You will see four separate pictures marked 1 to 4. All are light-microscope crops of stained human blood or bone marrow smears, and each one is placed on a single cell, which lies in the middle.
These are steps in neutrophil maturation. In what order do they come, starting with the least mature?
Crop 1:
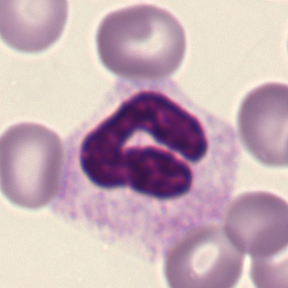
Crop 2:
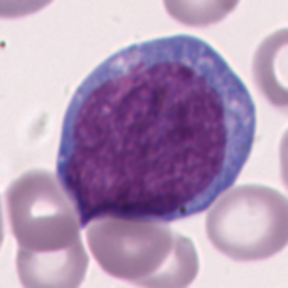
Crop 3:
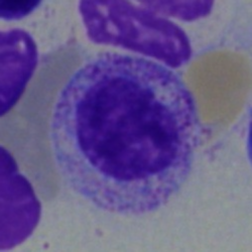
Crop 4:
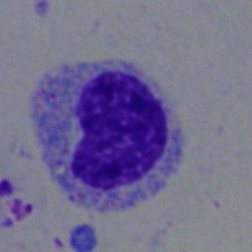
2, 3, 4, 1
